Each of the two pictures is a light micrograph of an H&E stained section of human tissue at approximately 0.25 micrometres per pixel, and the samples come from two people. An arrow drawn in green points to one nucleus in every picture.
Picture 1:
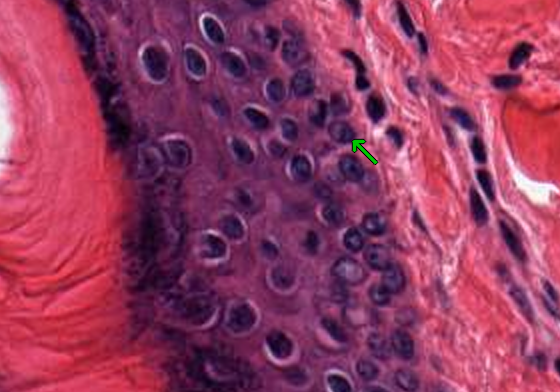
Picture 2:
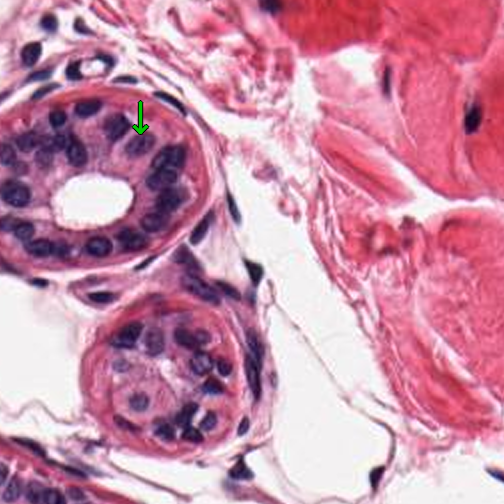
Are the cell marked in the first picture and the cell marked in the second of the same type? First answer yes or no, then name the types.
No, the first is a keratinocyte and the second a sweat gland cell.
